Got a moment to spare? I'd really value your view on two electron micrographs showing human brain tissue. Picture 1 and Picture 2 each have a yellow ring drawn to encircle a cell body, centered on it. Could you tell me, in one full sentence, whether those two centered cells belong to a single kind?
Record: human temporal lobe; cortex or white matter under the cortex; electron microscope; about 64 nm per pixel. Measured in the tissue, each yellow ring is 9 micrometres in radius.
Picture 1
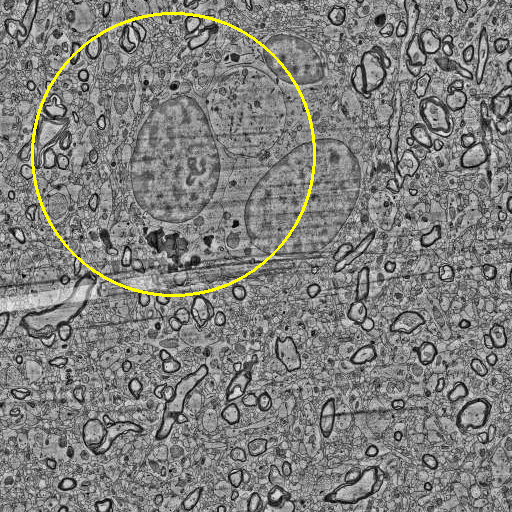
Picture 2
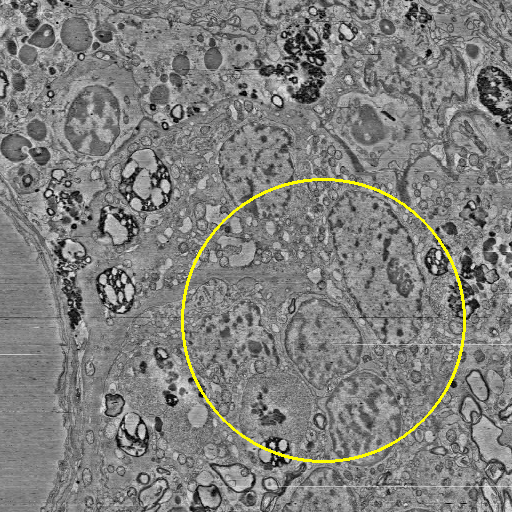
Yes, the two centered cells in Picture 1 and Picture 2 are of a single kind.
